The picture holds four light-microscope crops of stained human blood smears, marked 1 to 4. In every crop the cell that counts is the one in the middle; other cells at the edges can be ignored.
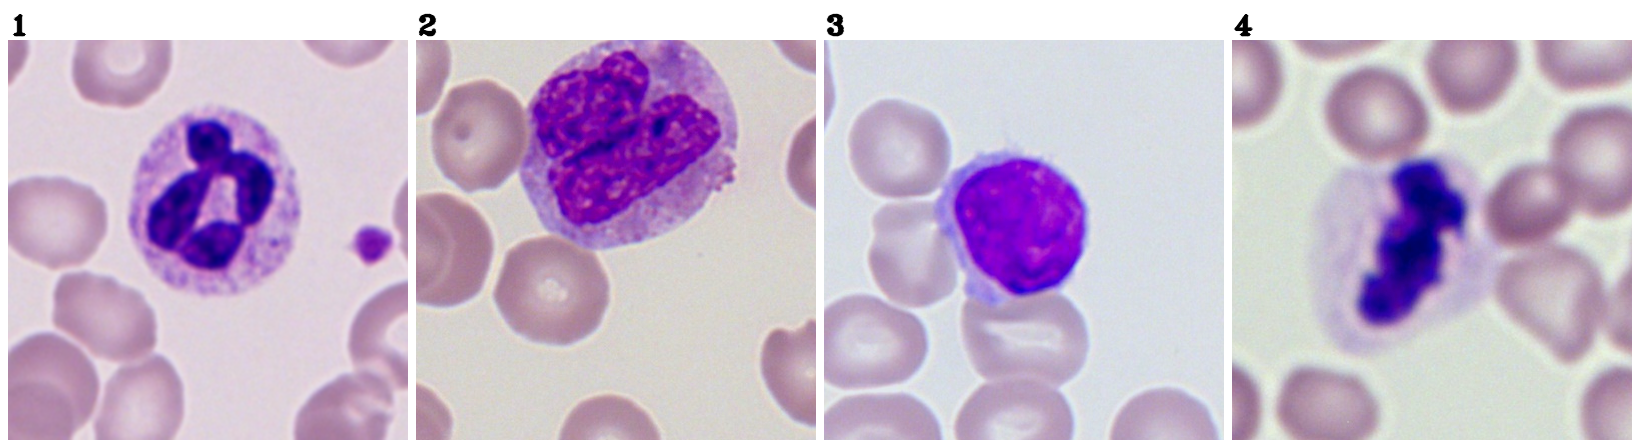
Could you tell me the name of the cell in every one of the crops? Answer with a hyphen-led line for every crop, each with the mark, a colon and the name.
- 1: segmented neutrophil
- 2: monocyte
- 3: lymphocyte
- 4: segmented neutrophil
